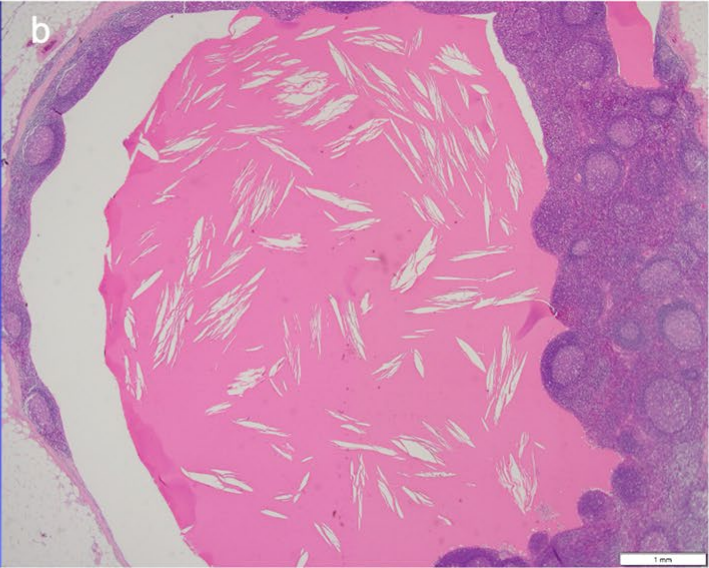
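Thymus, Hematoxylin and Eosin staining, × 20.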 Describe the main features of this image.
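Low-power view of thymic tissue containing a large cystic lesion. A rounded cavity fills most of the field. It holds homogeneous pink material, and many empty needle-shaped clefts are scattered through it in all directions, as left behind by cholesterol crystals. Dense purple lymphoid tissue borders the cavity, most broadly on the right. A thinner band of lymphoid tissue with smaller follicles curves along the left side.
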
